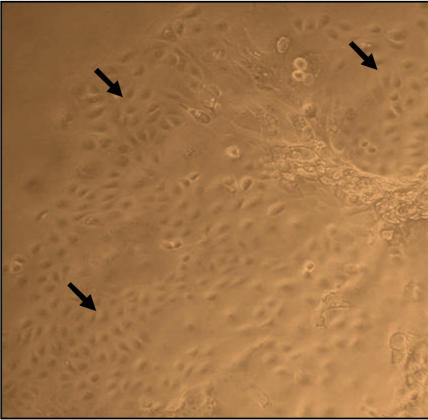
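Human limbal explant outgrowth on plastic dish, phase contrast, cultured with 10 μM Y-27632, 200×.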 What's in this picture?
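The cells lie close together in broad, fairly even sheets that spread across most of the field. Toward the right, a denser band of cells and some elongated, fibrous-looking elements cross the field, and a few round, bright refractile cells sit on top of the sheet.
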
